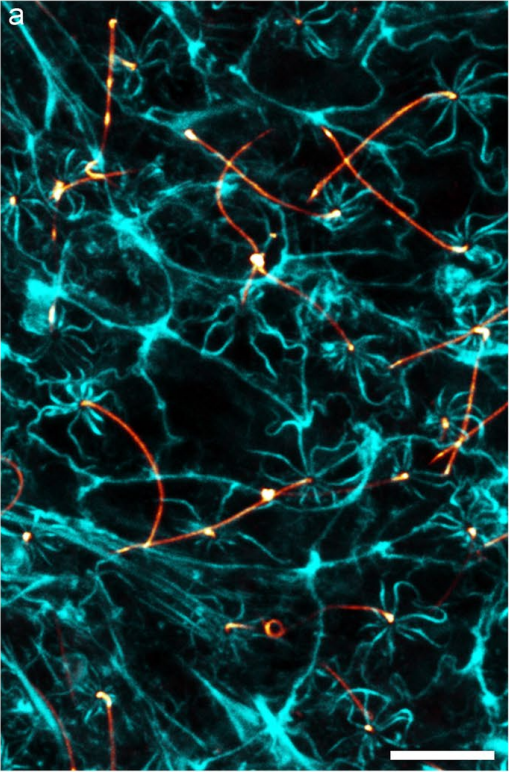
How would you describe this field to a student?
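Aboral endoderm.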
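An epithelial sheet is seen from above. Its cells are outlined by irregular cyan lines, and many long, thin orange-yellow filaments curve across the field. Each filament rises from a bright yellow spot. Around many of these spots, fine cyan lines fan outward like the petals of a flower or the rays of a star. The cyan network is dense and tangled, and the cell borders are hard to trace in places. Bundles of parallel cyan fibres also cross part of the lower left.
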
